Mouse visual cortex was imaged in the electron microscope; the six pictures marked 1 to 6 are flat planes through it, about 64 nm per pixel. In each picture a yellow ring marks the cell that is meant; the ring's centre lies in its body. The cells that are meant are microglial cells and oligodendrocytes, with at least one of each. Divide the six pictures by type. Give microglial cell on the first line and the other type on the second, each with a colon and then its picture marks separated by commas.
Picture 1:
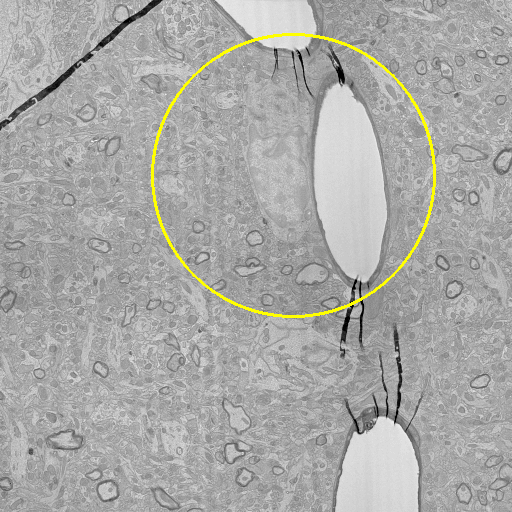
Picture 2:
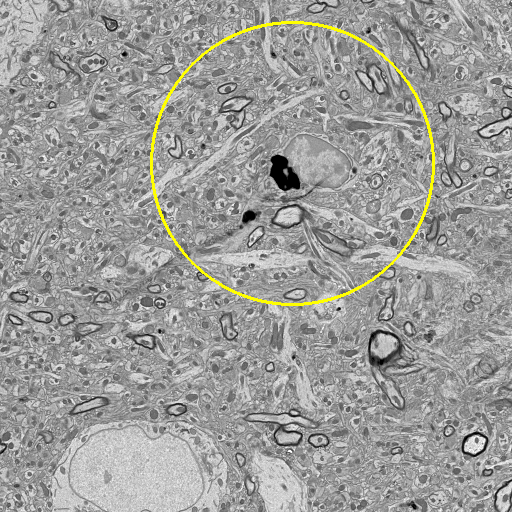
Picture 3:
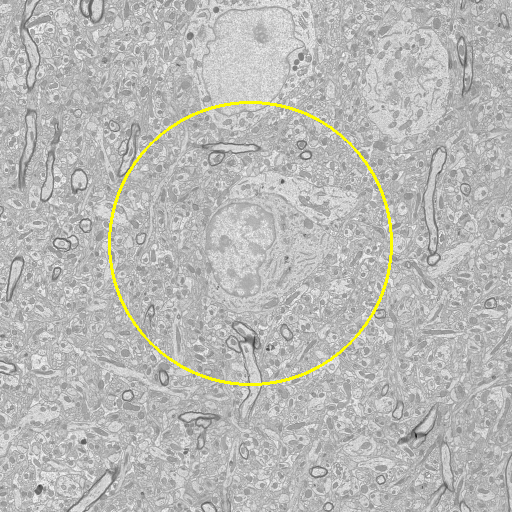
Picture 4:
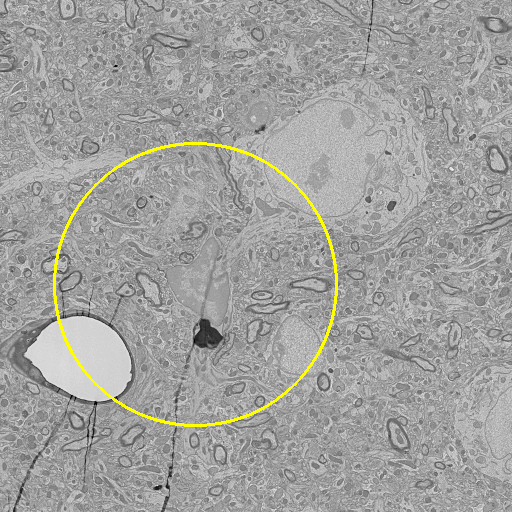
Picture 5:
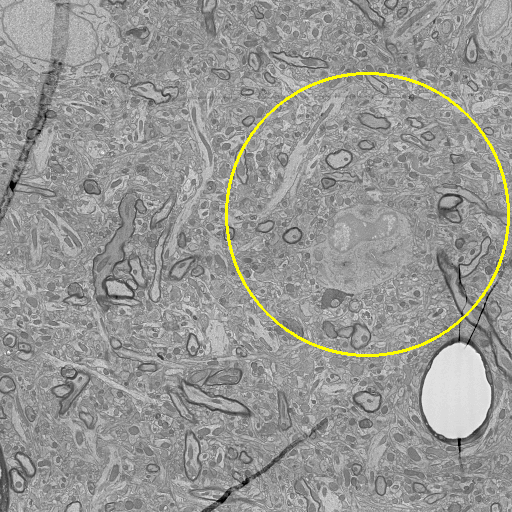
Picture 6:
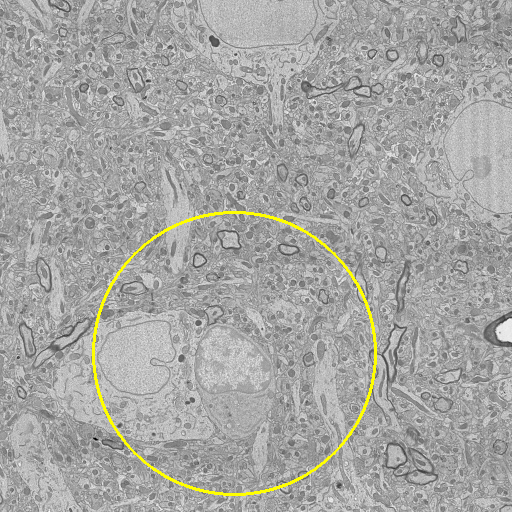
microglial cell: 2, 4
oligodendrocyte: 1, 3, 5, 6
